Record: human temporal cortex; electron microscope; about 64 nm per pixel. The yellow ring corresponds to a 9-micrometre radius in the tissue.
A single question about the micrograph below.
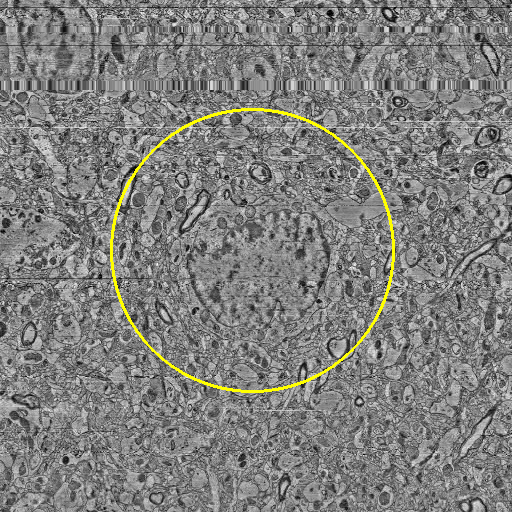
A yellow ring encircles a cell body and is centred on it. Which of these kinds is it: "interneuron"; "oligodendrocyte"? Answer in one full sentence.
The cell body at the centre of the yellow ring belongs to an interneuron.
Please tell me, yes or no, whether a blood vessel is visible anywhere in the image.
No.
